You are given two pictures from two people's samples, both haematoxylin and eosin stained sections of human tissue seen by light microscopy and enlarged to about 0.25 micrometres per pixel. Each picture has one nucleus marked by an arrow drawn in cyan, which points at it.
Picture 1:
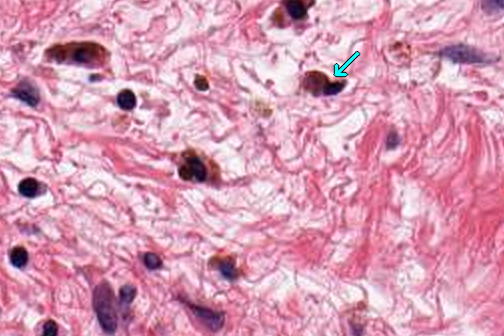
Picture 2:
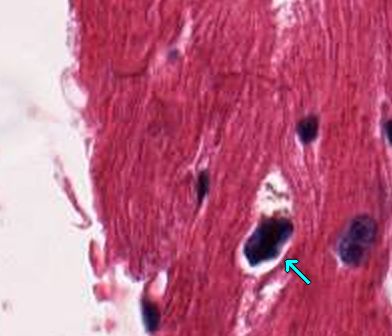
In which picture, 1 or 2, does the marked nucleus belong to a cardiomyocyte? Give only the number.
2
